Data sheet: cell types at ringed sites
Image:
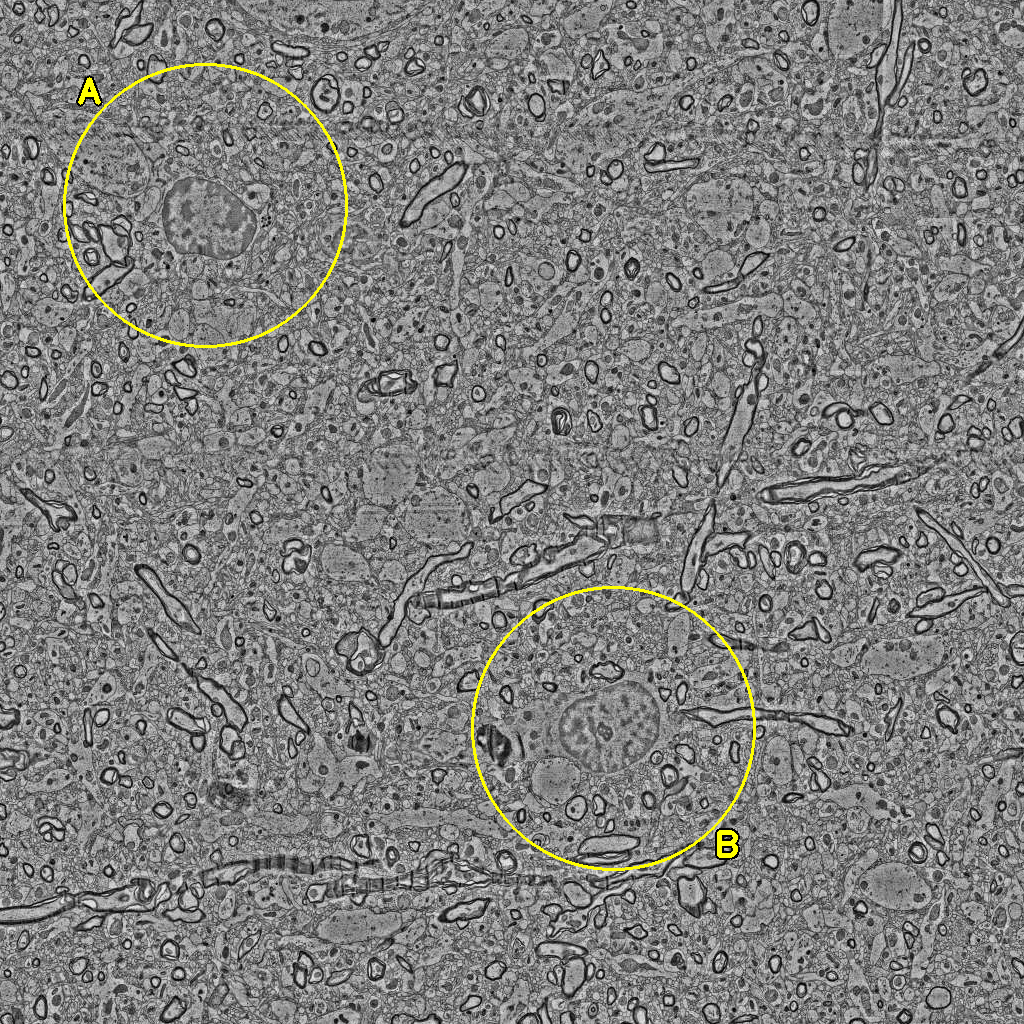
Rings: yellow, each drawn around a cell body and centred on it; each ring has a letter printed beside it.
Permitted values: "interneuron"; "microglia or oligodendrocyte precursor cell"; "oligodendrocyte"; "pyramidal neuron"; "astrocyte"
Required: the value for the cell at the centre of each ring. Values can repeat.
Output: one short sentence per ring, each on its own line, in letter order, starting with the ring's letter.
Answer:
Ring A has a microglial cell or oligodendrocyte precursor cell at its centre.
Ring B has an oligodendrocyte at its centre.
